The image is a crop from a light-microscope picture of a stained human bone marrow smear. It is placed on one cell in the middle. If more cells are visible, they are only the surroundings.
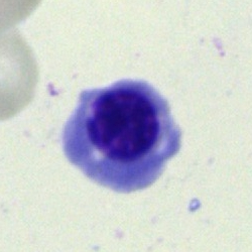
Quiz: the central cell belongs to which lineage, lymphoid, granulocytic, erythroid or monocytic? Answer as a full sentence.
The central cell in this crop is categorized under the erythroid lineage.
